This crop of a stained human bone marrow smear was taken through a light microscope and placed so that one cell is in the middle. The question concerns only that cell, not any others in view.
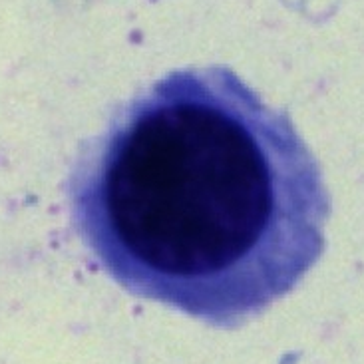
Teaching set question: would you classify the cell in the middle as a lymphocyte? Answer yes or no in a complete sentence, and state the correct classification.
No, it is not a lymphocyte that lies in the middle but an erythroblast.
